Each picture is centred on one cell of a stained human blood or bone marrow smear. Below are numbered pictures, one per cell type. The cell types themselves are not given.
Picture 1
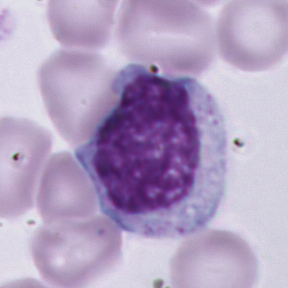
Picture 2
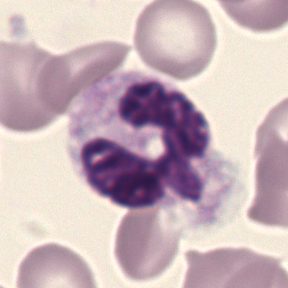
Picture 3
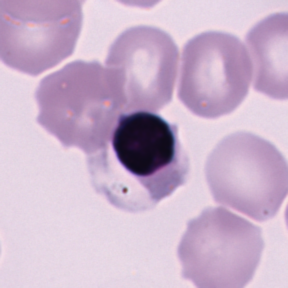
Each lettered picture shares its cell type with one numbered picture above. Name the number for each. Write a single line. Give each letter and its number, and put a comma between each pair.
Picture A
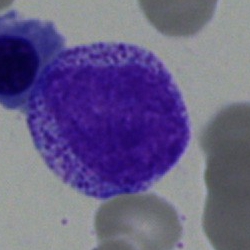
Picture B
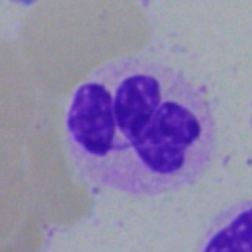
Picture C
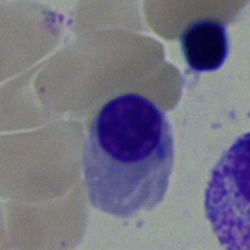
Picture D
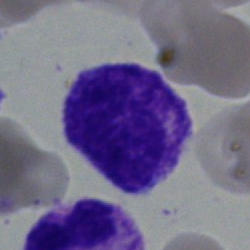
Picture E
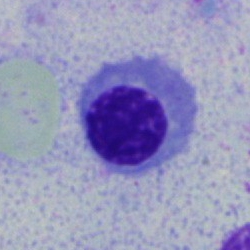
A 1, B 2, C 3, D 1, E 3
